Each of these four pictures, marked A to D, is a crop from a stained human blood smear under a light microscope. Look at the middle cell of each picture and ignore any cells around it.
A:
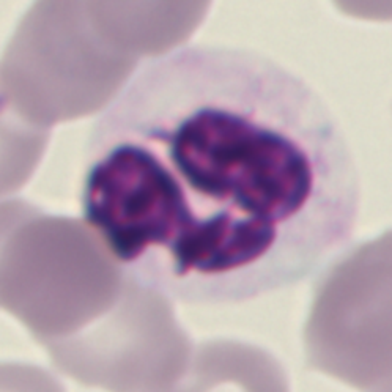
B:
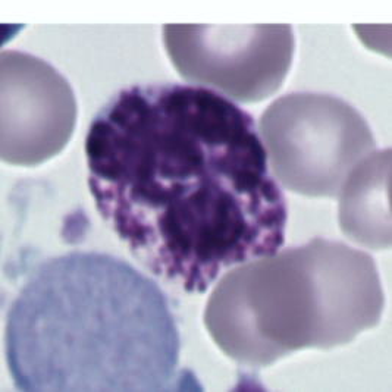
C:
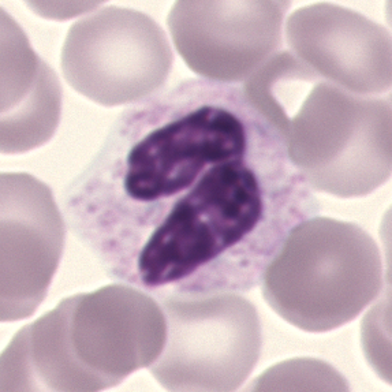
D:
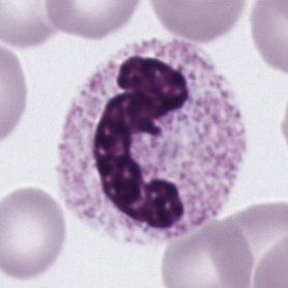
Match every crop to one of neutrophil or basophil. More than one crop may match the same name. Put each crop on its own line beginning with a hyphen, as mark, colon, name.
- A: neutrophil
- B: basophil
- C: neutrophil
- D: neutrophil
